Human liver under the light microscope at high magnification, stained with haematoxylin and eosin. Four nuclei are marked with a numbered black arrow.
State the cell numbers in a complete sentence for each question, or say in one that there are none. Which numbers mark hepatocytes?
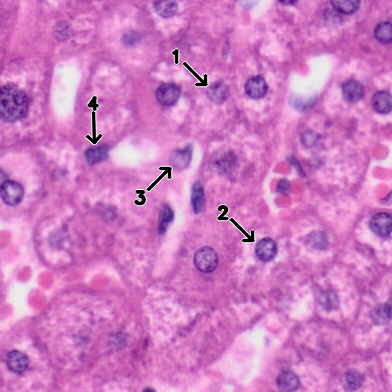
The cells that the numbers 1 and 2 belong to are hepatocytes.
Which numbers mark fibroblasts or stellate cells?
As for the numbered cells, only cell 4 is a fibroblast or stellate cell.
